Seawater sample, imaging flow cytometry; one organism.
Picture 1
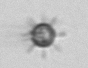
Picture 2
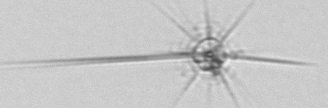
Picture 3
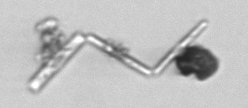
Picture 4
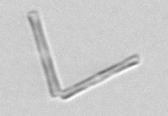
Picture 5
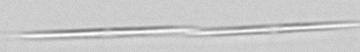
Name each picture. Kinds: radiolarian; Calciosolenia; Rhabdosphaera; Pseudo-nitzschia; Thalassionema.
1: Rhabdosphaera
2: radiolarian
3: Thalassionema
4: Thalassionema
5: Pseudo-nitzschia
